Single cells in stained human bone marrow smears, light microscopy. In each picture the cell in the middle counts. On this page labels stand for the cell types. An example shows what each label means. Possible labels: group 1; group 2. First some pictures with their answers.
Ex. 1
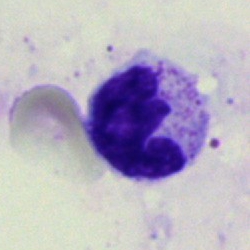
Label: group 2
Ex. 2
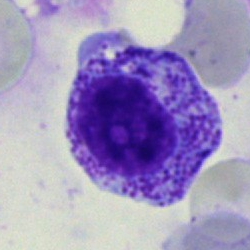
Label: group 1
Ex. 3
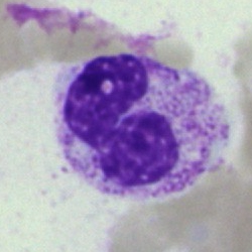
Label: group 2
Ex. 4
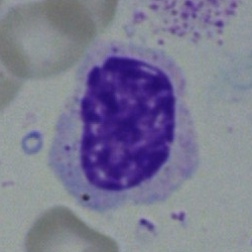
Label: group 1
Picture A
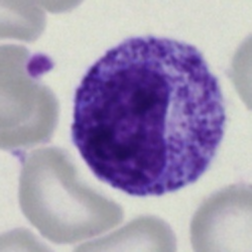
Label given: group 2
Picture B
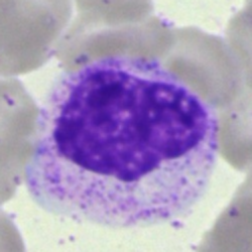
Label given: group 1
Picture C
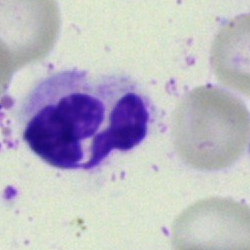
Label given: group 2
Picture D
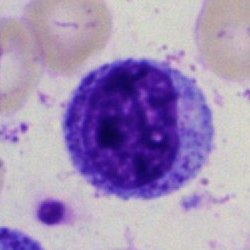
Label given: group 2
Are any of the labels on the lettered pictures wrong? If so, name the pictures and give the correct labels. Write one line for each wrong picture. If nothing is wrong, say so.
A is labelled group 2; correct label: group 1
D is labelled group 2; correct label: group 1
